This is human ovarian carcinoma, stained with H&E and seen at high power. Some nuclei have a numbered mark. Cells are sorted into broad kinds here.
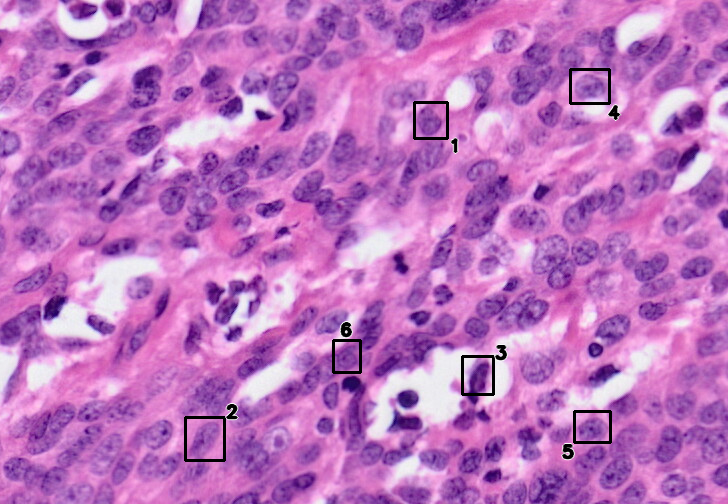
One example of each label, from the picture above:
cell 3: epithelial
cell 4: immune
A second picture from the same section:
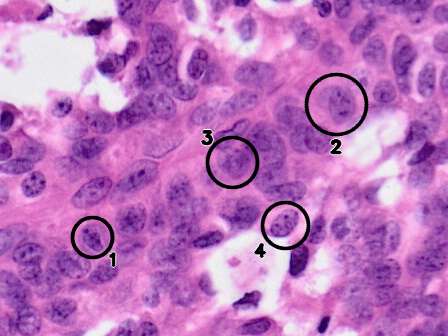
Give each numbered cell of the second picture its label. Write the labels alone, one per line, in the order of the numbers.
immune
epithelial
epithelial
immune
